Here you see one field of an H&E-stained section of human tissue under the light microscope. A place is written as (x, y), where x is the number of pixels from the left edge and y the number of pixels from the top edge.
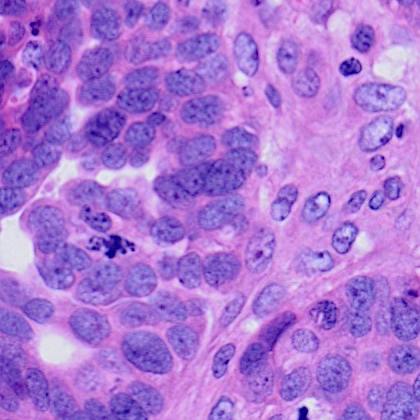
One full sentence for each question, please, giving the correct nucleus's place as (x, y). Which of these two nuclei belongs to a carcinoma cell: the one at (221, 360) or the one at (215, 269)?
The nucleus at (215, 269) is part of a carcinoma cell, while the other is not.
